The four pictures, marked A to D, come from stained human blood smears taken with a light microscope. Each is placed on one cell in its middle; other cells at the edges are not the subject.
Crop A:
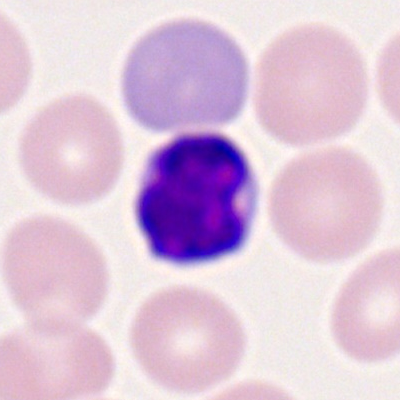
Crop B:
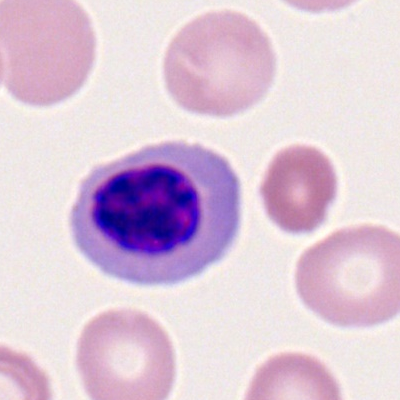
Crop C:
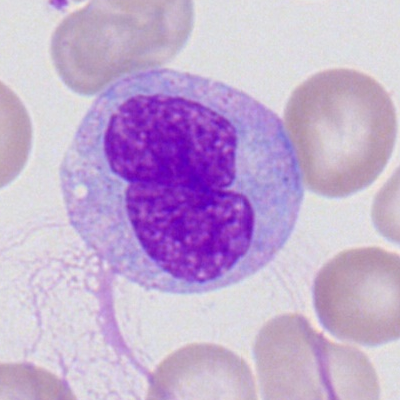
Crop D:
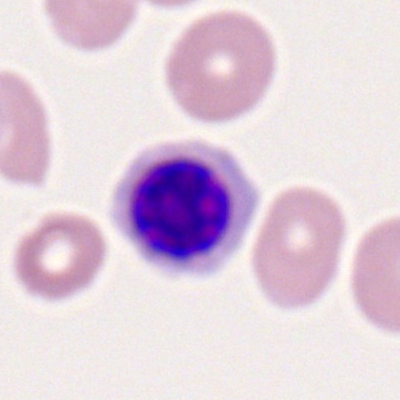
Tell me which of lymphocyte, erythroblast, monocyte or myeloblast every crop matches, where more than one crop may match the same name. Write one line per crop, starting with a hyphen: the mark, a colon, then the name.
- A: lymphocyte
- B: erythroblast
- C: monocyte
- D: erythroblast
